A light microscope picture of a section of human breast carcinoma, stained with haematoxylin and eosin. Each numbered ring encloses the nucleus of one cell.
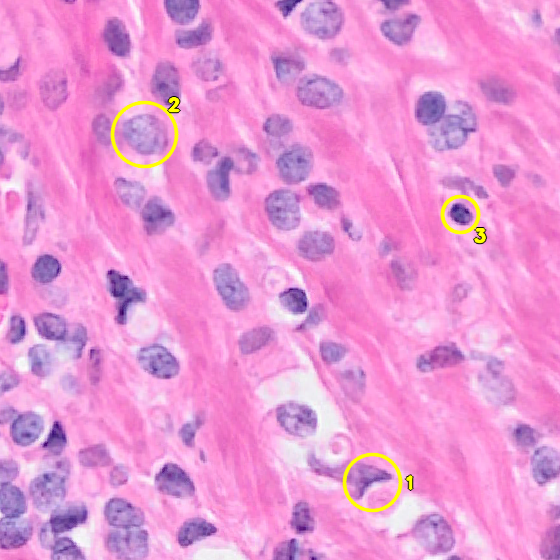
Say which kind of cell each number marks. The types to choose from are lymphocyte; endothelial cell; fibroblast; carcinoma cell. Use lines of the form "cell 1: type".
cell 1: fibroblast
cell 2: carcinoma cell
cell 3: lymphocyte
